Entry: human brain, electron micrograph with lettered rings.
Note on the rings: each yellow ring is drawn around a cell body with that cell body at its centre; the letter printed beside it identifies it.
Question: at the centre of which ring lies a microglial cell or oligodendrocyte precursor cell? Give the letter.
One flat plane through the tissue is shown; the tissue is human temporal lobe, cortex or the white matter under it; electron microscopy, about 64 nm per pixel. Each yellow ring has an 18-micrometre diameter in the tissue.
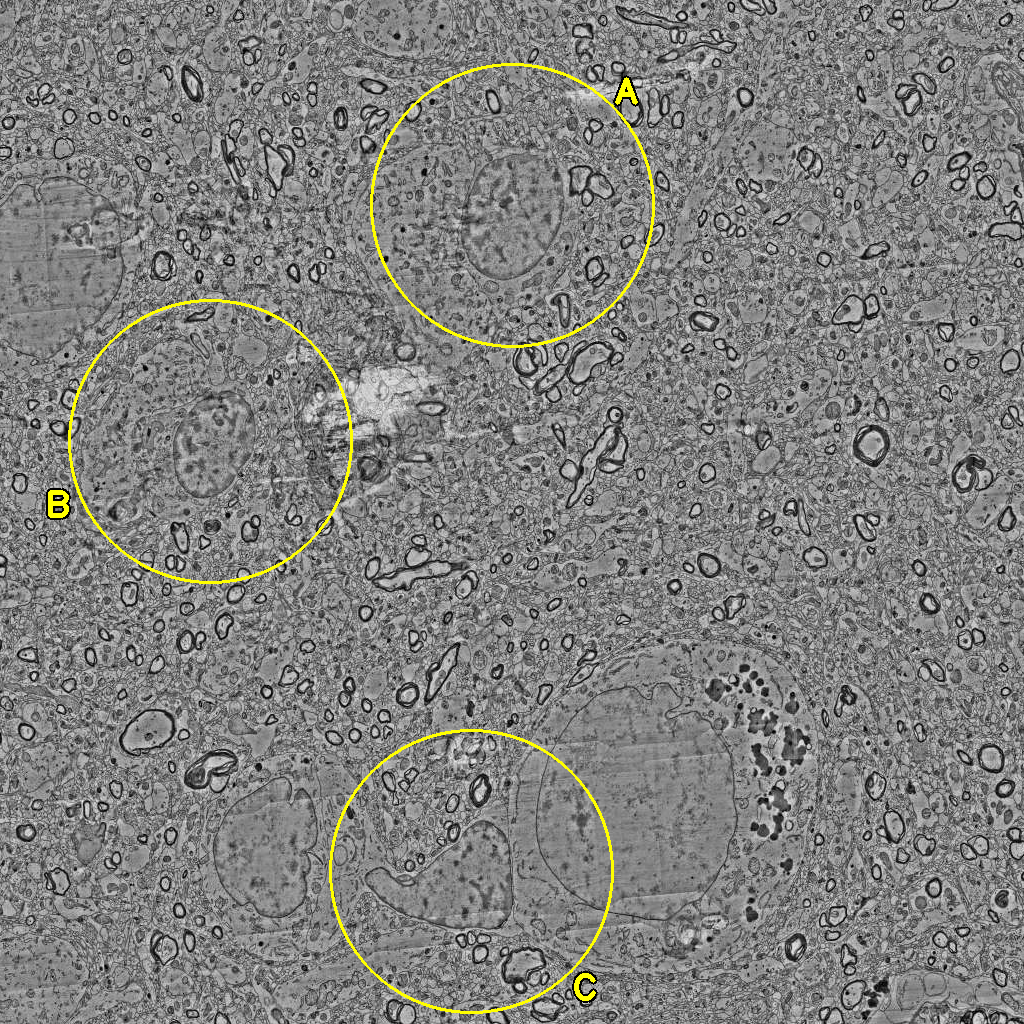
C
